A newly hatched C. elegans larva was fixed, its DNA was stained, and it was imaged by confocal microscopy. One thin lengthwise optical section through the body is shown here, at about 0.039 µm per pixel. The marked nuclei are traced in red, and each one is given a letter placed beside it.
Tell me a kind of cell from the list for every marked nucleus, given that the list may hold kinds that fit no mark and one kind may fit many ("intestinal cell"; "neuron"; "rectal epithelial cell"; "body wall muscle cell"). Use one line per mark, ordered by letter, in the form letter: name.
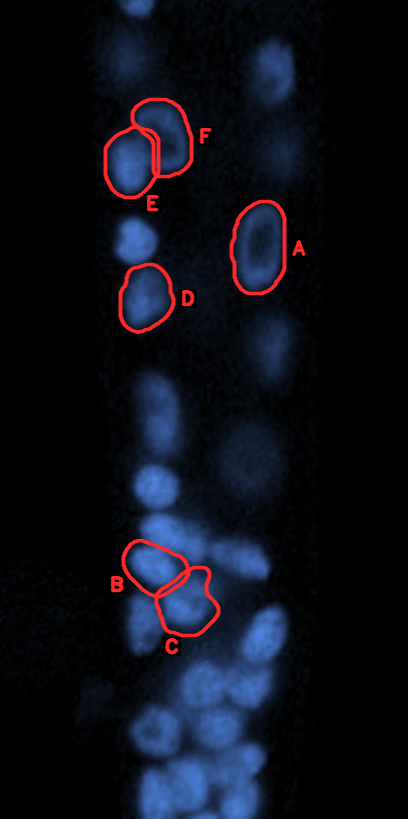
A: intestinal cell
B: neuron
C: rectal epithelial cell
D: body wall muscle cell
E: neuron
F: intestinal cell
